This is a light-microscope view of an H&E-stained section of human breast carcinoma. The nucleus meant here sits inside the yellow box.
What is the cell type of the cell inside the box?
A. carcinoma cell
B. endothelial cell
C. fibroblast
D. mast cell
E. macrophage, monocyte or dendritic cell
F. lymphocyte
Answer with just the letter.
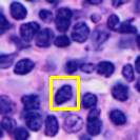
F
